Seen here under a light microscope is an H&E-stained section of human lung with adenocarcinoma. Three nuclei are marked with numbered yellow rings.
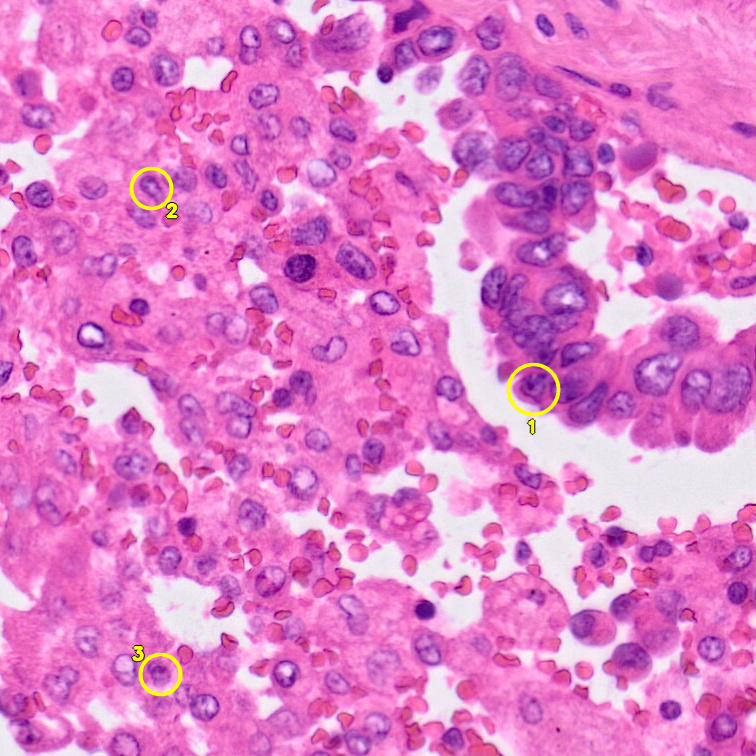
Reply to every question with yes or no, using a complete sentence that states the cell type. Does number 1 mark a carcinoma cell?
Yes, the number 1 belongs to a carcinoma cell.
